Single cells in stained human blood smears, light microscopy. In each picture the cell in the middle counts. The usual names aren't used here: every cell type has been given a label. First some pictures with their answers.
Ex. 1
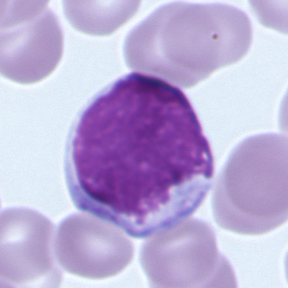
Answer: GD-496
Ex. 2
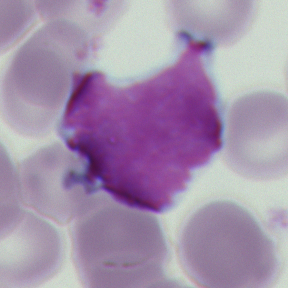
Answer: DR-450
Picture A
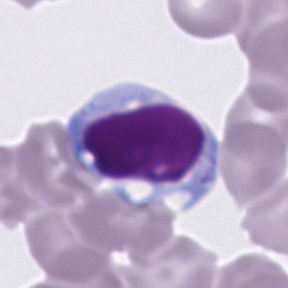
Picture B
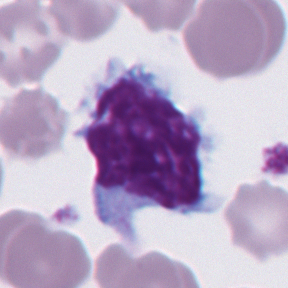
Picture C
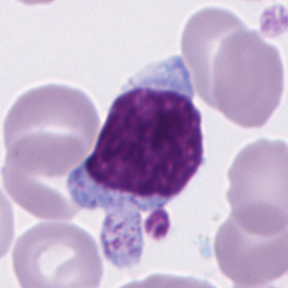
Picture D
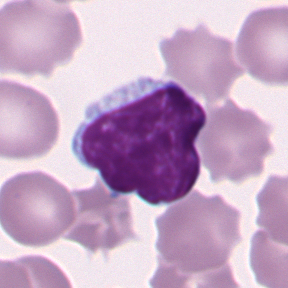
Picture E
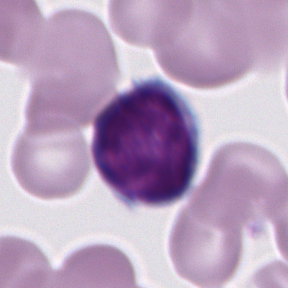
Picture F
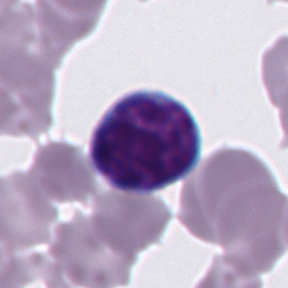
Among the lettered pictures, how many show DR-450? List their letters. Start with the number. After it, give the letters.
Count: 5 (A, B, D, E, F)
